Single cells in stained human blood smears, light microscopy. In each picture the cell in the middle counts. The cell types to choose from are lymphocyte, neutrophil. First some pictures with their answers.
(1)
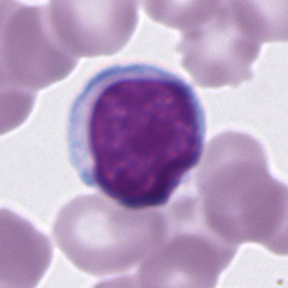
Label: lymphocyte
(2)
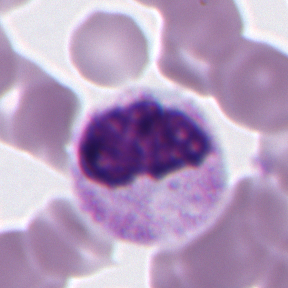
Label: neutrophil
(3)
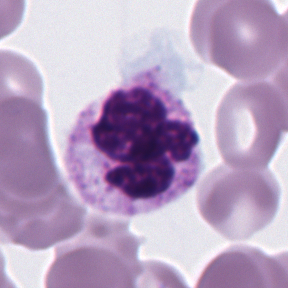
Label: neutrophil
